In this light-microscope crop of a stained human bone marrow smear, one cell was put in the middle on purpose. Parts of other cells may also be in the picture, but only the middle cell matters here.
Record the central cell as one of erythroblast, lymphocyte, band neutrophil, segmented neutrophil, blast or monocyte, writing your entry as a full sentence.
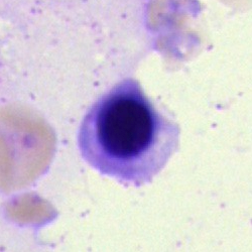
By type, the central cell of the crop is an erythroblast.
